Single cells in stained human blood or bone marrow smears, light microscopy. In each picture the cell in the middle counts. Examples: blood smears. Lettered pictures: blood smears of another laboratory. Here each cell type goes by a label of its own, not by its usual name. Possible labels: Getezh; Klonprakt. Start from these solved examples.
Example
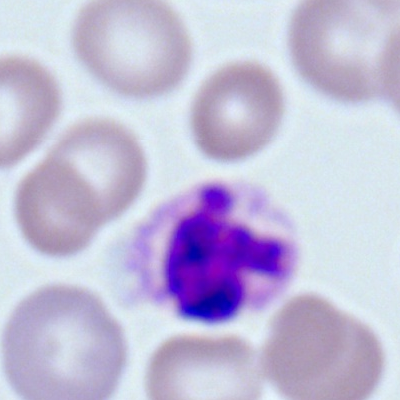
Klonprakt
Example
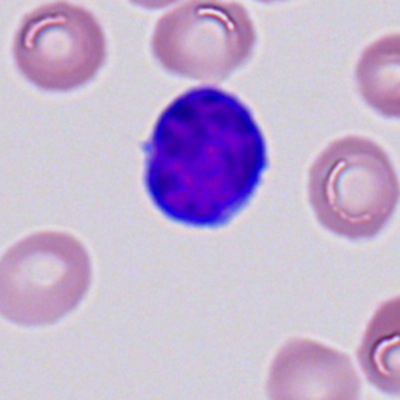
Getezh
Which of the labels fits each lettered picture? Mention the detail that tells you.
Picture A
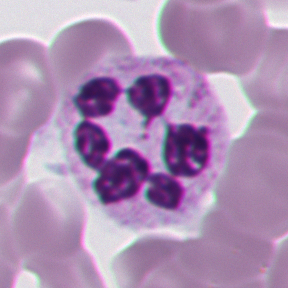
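Klonprakt. The cytoplasm is abundant and pale pinkish-lilac.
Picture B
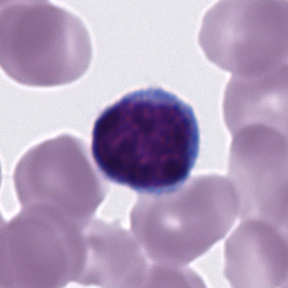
Getezh. The cytoplasm is only a very thin rim around the nucleus.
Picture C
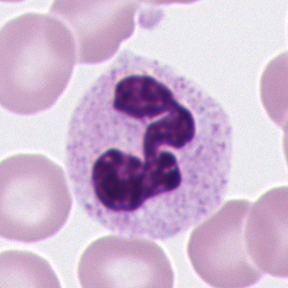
Klonprakt. The cytoplasm is plentiful and pale pinkish-lilac.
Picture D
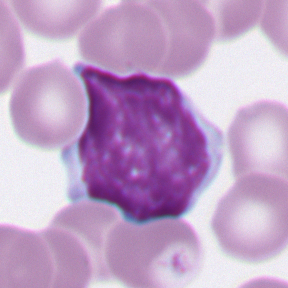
Getezh. The cytoplasm is only a thin pale blue-grey rim around the nucleus.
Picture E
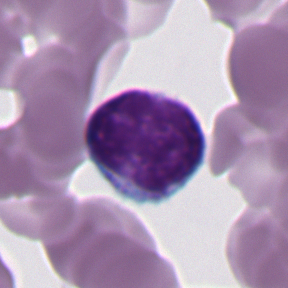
Getezh. The cytoplasm is a narrow pale blue crescent seen mainly at the lower left edge.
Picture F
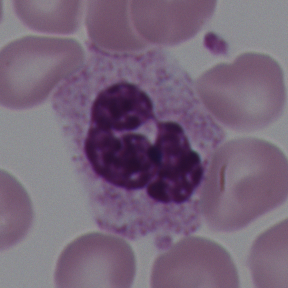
Klonprakt. A wide rim of pale pinkish-lilac cytoplasm surrounds the nucleus.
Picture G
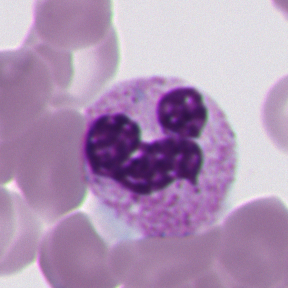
Klonprakt. The cytoplasm is plentiful and pale pinkish.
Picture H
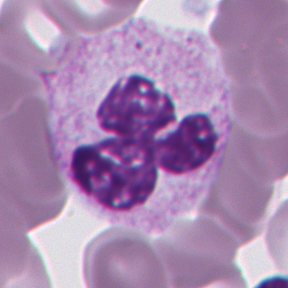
Klonprakt. The cytoplasm is abundant and pale pinkish-lilac.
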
